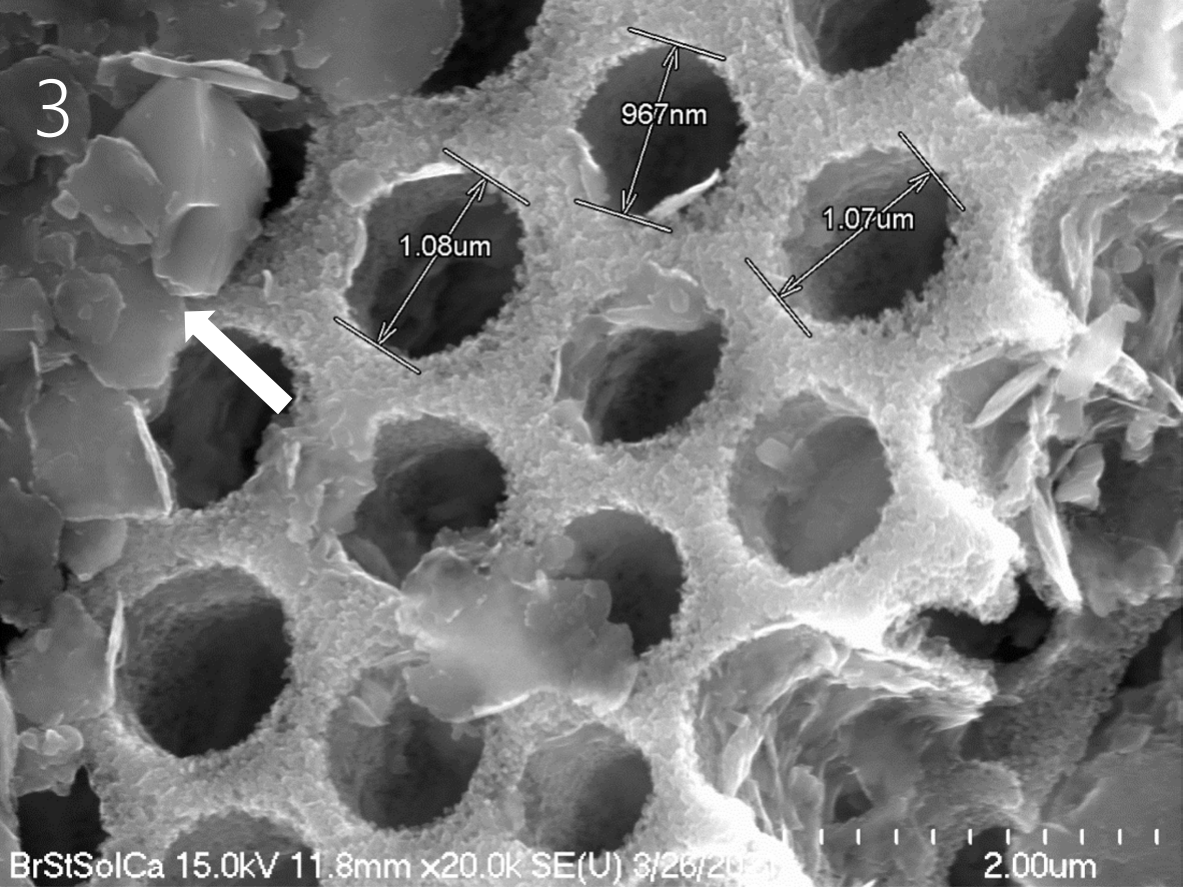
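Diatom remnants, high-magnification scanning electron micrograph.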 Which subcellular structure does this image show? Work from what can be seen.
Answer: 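Round holes about one micrometre across perforate a continuous plate. The holes are evenly spaced in a regular array. The plate between the holes has a finely granular surface.
Areolae.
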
